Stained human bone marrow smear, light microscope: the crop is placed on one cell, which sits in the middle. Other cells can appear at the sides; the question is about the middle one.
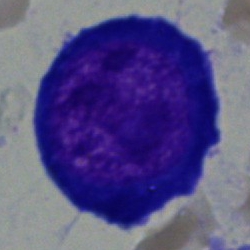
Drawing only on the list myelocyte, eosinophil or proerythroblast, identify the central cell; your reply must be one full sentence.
The cell featured at the centre of this crop is a proerythroblast.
